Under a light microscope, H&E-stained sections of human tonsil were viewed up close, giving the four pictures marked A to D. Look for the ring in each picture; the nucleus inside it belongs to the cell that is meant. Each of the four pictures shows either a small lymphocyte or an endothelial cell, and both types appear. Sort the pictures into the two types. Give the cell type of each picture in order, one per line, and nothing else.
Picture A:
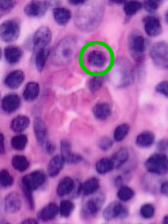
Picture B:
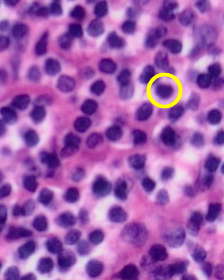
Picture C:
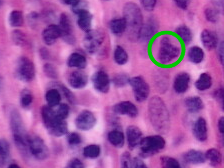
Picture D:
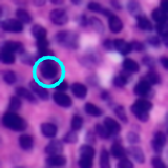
endothelial cell
small lymphocyte
endothelial cell
small lymphocyte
